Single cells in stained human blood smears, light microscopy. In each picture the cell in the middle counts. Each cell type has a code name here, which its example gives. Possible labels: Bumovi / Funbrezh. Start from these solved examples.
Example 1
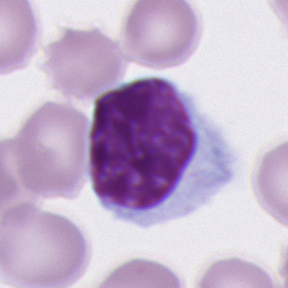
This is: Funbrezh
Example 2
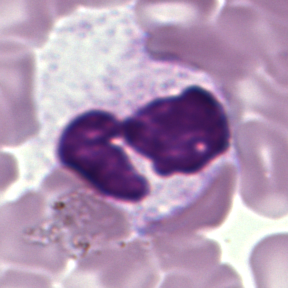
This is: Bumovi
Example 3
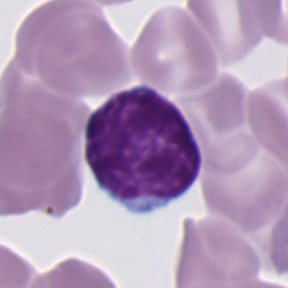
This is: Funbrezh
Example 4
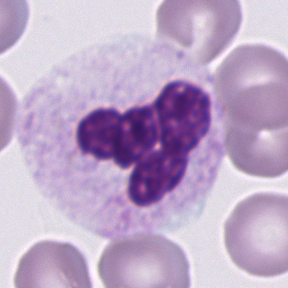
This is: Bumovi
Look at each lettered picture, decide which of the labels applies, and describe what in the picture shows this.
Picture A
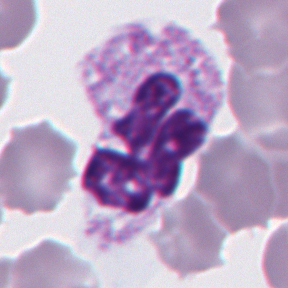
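Bumovi. The nucleus is divided into three lobes joined to one another.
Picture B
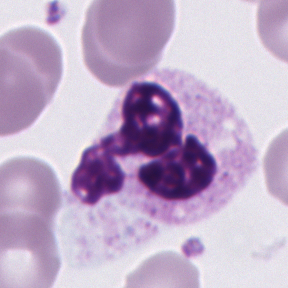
Bumovi. The cytoplasm is plentiful and pale pinkish-lilac.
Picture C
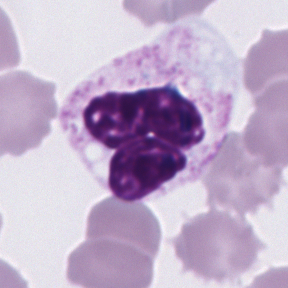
Bumovi. The cytoplasm is plentiful and very pale greyish-lilac.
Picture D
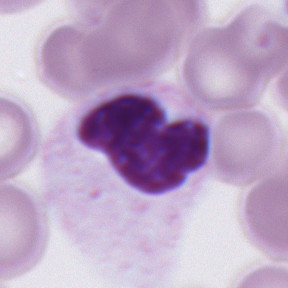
Bumovi. The cytoplasm is abundant and very pale, with only a faint pinkish tint.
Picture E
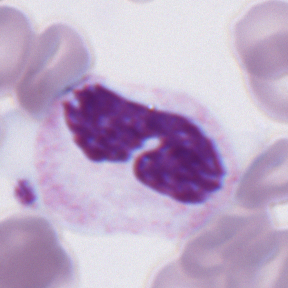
Bumovi. The cytoplasm is plentiful and very pale pinkish.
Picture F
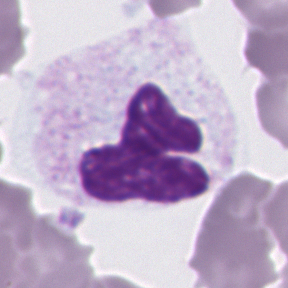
Bumovi. The nucleus is folded into two broad lobes that stay joined.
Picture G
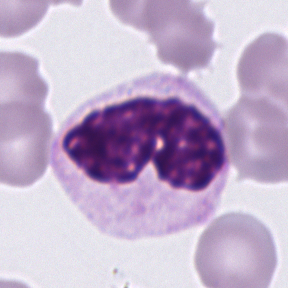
Bumovi. The nucleus has a deep notch in its lower edge, which divides it into two lobes joined along the top.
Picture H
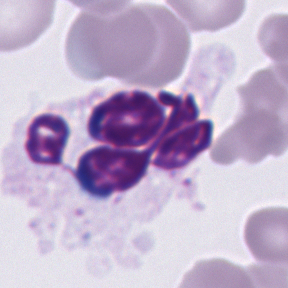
Bumovi. The cytoplasm is abundant and very pale lilac.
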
